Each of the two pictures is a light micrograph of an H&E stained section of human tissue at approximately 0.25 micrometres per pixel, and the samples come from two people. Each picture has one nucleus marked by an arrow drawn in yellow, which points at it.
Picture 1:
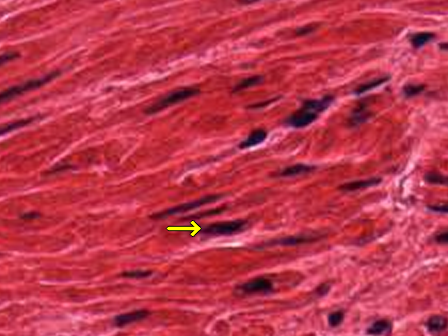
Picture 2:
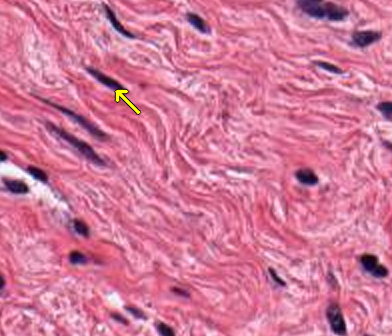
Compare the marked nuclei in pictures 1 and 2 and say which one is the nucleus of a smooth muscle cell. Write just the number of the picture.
1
